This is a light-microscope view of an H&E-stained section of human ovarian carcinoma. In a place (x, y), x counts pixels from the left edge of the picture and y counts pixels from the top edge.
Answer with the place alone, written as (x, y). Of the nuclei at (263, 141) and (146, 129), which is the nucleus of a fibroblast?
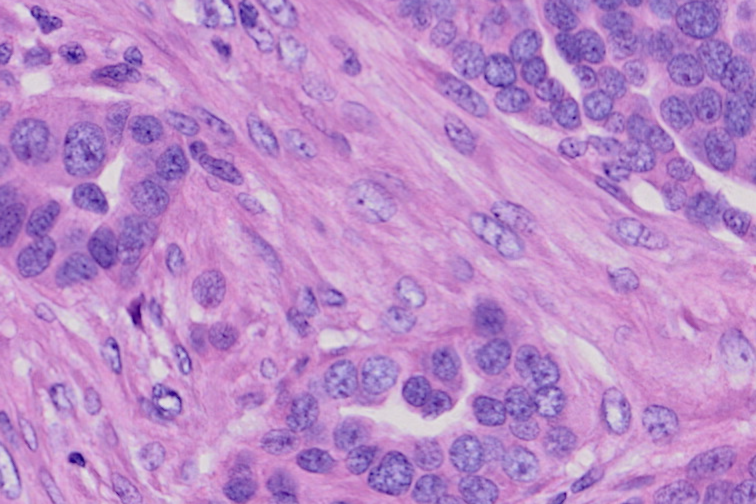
(263, 141)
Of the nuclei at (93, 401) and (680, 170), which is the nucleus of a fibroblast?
(93, 401)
